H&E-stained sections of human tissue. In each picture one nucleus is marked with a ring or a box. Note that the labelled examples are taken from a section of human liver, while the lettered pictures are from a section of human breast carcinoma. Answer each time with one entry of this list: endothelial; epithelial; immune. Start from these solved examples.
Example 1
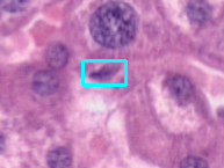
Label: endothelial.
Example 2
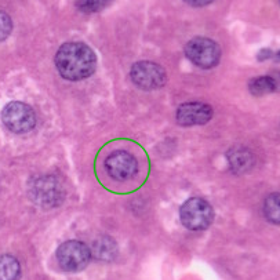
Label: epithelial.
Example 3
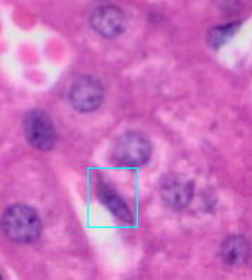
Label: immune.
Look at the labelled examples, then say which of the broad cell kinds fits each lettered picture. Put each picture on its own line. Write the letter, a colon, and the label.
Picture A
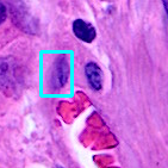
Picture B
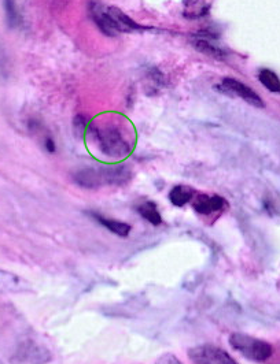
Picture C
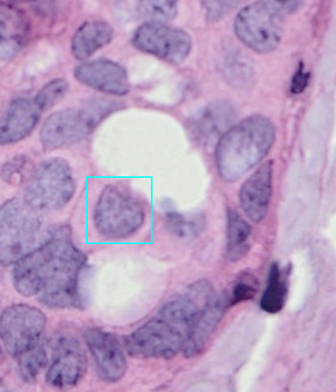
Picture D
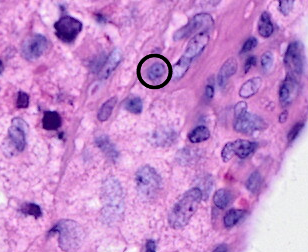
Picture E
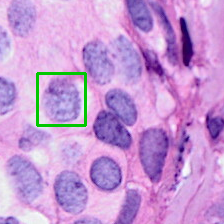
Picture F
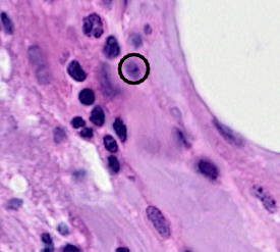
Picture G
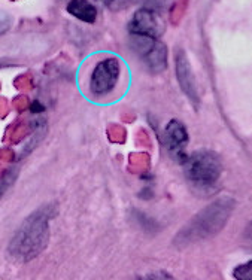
A: endothelial.
B: endothelial.
C: epithelial.
D: endothelial.
E: epithelial.
F: immune.
G: immune.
